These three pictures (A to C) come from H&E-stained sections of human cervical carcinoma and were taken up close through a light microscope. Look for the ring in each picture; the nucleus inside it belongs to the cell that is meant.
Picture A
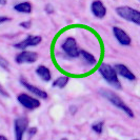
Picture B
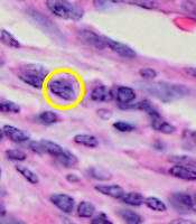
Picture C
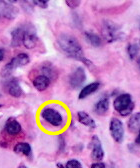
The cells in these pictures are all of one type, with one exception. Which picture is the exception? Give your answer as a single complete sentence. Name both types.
All pictures except A show lymphocytes; picture A shows a fibroblast.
